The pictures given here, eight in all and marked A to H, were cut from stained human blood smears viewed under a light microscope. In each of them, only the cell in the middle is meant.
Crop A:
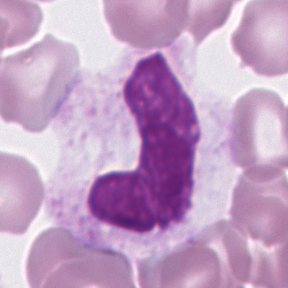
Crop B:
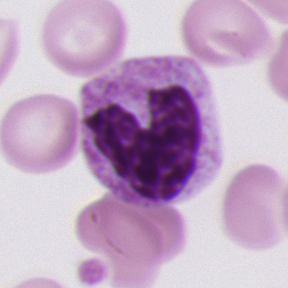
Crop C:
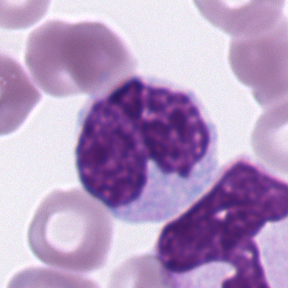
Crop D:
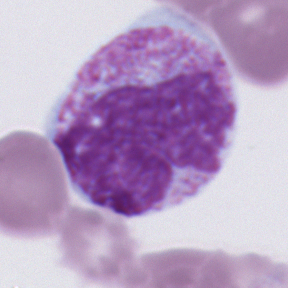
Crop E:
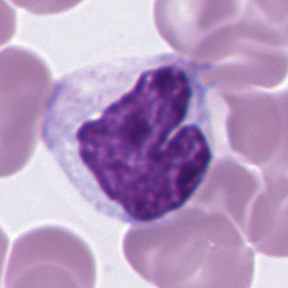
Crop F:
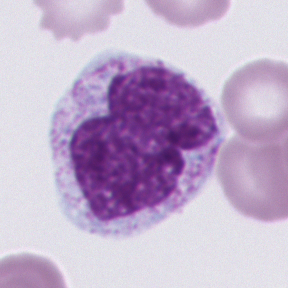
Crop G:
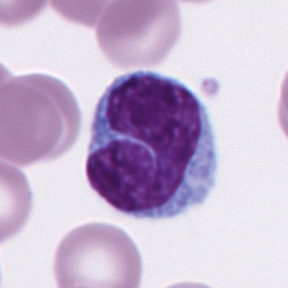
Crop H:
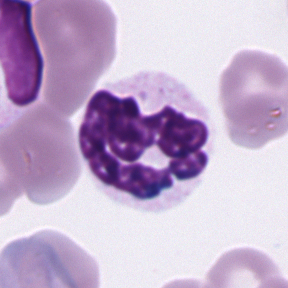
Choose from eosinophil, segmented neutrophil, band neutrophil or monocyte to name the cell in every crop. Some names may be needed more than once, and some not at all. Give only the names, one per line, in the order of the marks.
band neutrophil
band neutrophil
monocyte
band neutrophil
band neutrophil
band neutrophil
monocyte
segmented neutrophil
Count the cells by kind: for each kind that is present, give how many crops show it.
band neutrophil: 5
monocyte: 2
segmented neutrophil: 1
